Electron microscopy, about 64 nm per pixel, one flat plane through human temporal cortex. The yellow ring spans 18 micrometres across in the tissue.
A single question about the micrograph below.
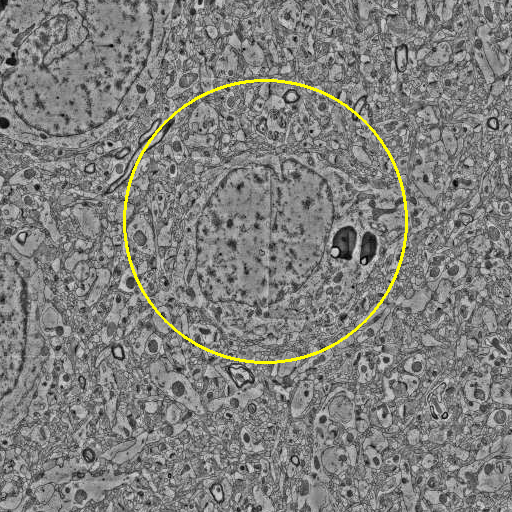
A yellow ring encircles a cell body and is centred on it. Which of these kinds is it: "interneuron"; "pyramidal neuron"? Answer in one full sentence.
The cell body at the centre of the yellow ring belongs to an interneuron.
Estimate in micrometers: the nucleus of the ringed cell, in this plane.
About 10 by 8 micrometers, in this plane.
